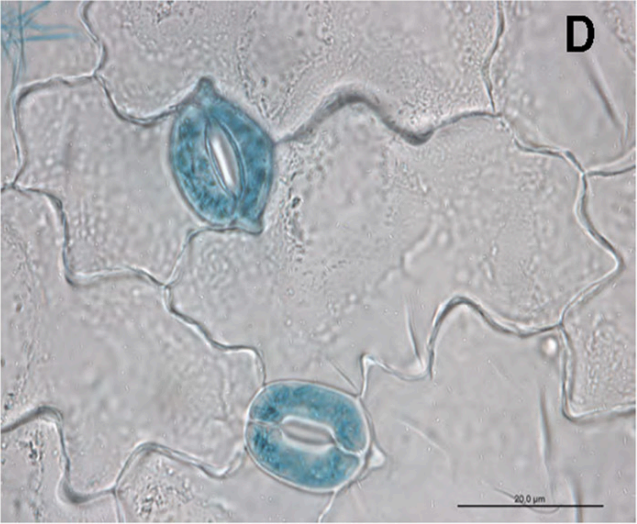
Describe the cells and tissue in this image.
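A peeled leaf epidermis at high magnification shows two stomata whose paired guard cells are stained blue, while the surrounding epidermal cells stay unstained. The surrounding cells have strongly wavy, interlocking walls, and each pair of curved guard cells encloses a slit-like pore.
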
